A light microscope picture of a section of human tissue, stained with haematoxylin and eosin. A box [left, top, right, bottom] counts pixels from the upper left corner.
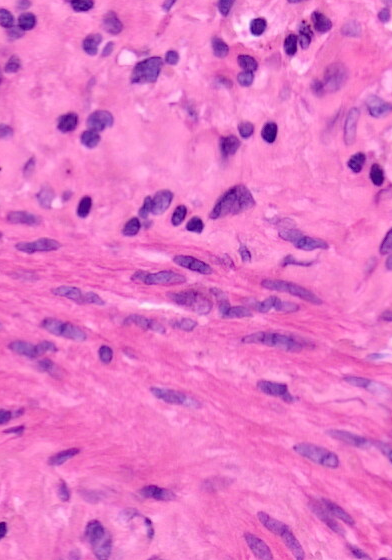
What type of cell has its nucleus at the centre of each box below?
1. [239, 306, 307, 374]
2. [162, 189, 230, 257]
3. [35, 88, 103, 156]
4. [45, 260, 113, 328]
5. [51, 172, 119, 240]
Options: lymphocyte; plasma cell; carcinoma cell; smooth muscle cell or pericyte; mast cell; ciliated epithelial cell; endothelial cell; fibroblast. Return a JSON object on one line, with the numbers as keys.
{"1": "smooth muscle cell or pericyte", "2": "lymphocyte", "3": "lymphocyte", "4": "smooth muscle cell or pericyte", "5": "lymphocyte"}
